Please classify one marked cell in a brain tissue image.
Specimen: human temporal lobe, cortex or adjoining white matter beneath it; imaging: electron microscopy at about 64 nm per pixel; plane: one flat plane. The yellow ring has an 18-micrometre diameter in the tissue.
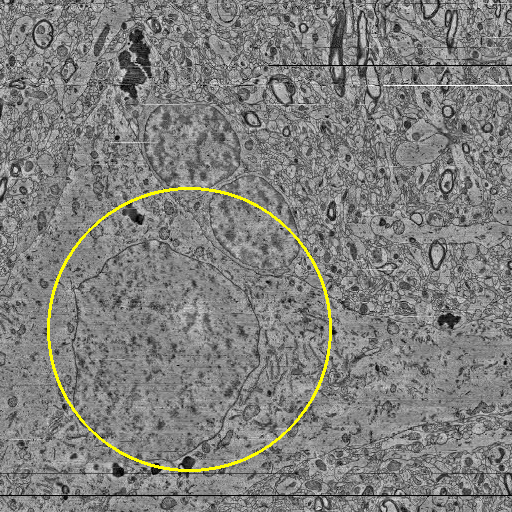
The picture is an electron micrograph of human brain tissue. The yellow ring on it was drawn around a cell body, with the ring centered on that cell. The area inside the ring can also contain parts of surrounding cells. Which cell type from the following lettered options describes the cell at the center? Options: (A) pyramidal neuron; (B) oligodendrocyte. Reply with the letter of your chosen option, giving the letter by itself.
A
